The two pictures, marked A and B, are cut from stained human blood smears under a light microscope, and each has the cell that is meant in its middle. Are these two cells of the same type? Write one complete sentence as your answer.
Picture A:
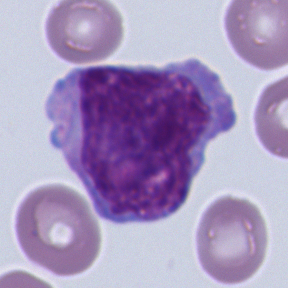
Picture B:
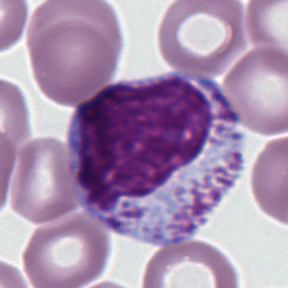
No. Picture A shows an atypical promyelocyte, but picture B shows a myelocyte.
